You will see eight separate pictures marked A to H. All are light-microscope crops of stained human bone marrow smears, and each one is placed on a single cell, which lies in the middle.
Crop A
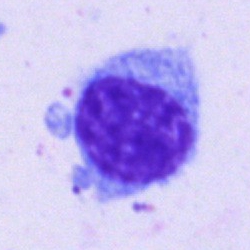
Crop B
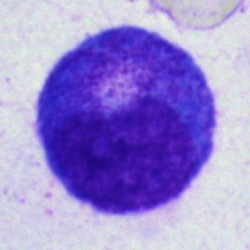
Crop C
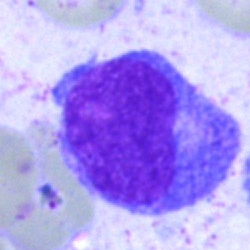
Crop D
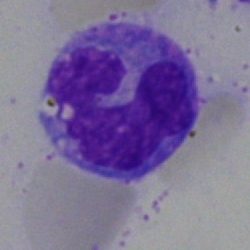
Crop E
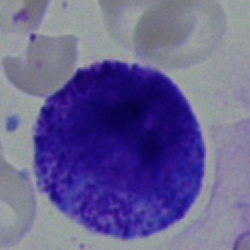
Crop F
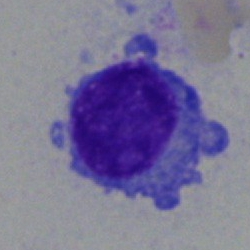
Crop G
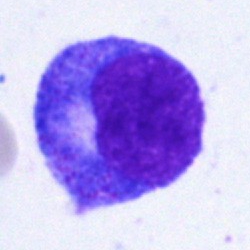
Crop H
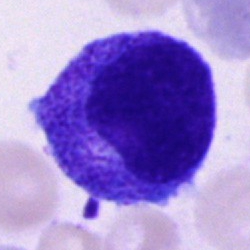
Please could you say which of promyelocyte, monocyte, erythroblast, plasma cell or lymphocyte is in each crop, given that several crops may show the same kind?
A: lymphocyte
B: promyelocyte
C: promyelocyte
D: monocyte
E: promyelocyte
F: plasma cell
G: promyelocyte
H: promyelocyte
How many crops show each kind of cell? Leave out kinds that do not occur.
promyelocyte: 5
lymphocyte: 1
monocyte: 1
plasma cell: 1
